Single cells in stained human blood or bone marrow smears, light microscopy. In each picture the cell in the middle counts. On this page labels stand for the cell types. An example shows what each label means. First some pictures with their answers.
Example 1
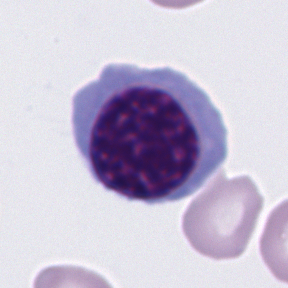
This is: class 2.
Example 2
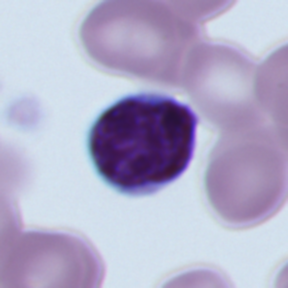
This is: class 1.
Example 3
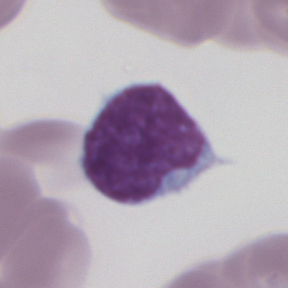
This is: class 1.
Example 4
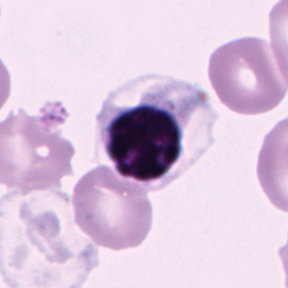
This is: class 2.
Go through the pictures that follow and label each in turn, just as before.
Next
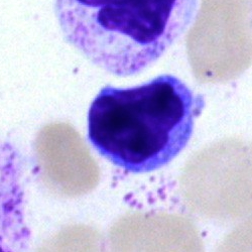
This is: class 1.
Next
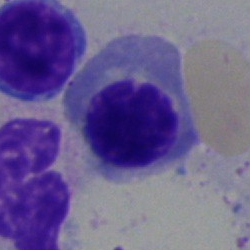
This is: class 2.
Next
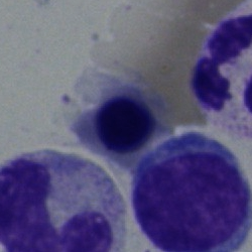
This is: class 2.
